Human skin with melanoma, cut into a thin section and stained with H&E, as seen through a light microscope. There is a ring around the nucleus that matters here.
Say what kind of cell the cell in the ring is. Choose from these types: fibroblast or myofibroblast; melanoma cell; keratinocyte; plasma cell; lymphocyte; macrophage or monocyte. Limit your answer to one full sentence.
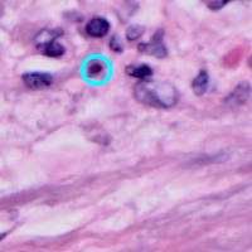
Recorded by type, the cell in the ring is a plasma cell.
